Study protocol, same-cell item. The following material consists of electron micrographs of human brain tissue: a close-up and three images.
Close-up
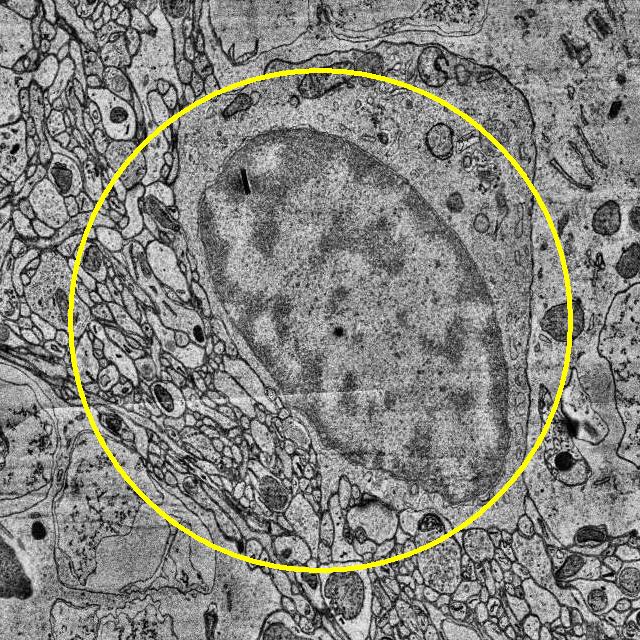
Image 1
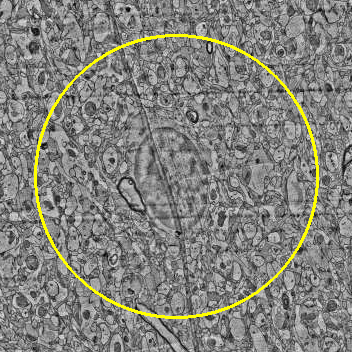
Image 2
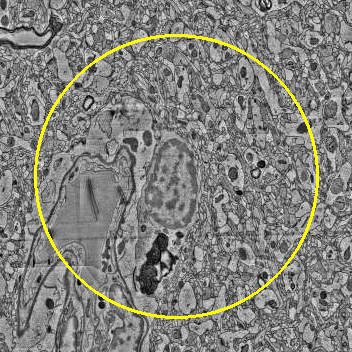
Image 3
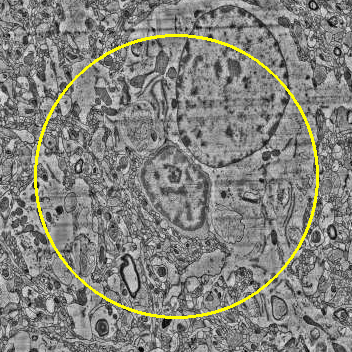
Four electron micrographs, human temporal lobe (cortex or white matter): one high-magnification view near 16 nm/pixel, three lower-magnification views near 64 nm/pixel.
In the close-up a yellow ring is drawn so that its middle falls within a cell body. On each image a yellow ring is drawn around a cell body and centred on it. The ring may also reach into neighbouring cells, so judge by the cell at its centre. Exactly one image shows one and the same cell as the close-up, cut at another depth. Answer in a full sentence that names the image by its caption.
The cell examined up close is the one ringed in Image 3.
